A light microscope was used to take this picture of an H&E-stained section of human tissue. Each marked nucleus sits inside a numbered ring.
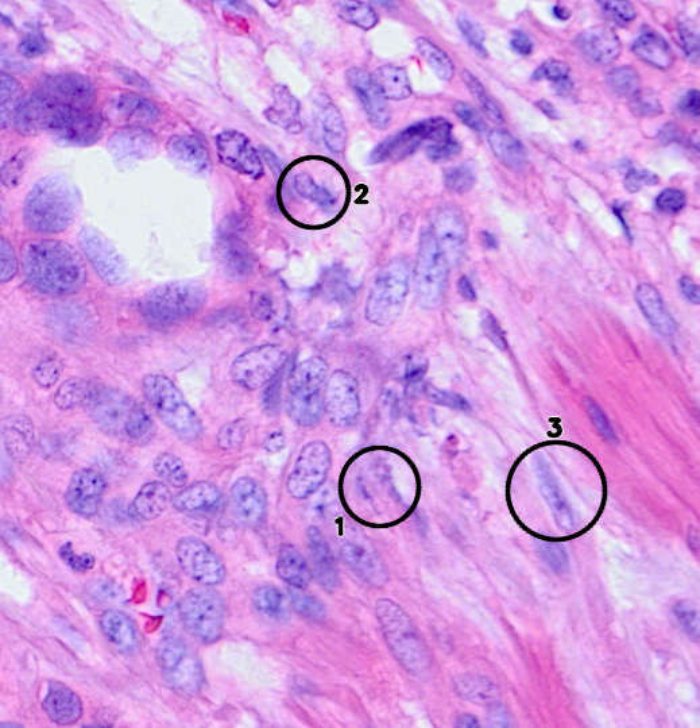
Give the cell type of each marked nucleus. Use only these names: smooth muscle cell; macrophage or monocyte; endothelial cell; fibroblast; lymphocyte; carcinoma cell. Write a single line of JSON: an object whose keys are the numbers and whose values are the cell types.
{"1": "fibroblast", "2": "macrophage or monocyte", "3": "fibroblast"}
